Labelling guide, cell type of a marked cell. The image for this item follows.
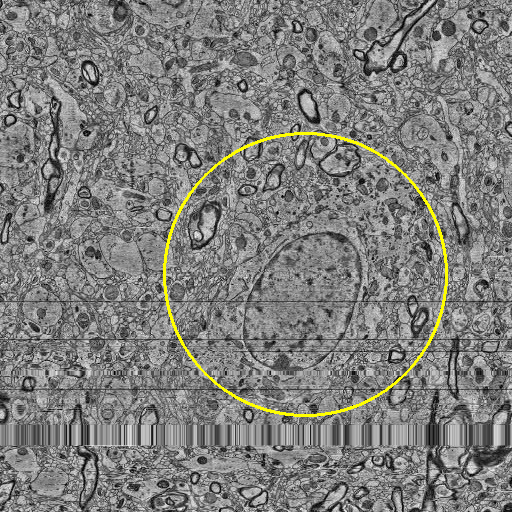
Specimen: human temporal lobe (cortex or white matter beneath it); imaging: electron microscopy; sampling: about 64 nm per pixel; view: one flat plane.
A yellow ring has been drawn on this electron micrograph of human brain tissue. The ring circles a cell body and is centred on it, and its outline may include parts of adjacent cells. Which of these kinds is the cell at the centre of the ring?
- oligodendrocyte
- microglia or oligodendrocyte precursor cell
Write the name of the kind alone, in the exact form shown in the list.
microglia or oligodendrocyte precursor cell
